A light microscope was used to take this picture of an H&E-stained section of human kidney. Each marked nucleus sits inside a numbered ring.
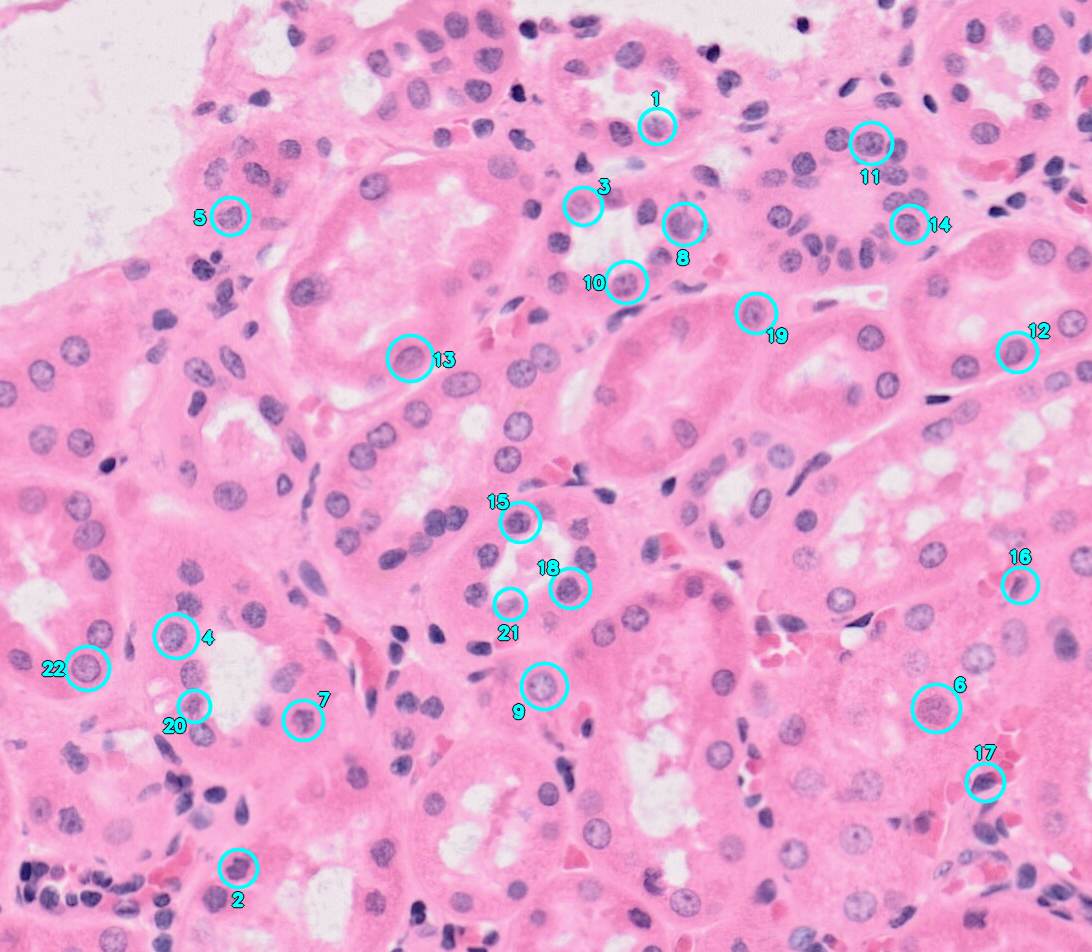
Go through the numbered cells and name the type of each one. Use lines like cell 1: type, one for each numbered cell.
cell 1: loop of Henle or distal tubule cell
cell 2: proximal tubule cell
cell 3: loop of Henle or distal tubule cell
cell 4: loop of Henle or distal tubule cell
cell 5: loop of Henle or distal tubule cell
cell 6: proximal tubule cell
cell 7: loop of Henle or distal tubule cell
cell 8: loop of Henle or distal tubule cell
cell 9: proximal tubule cell
cell 10: loop of Henle or distal tubule cell
cell 11: collecting duct cell
cell 12: proximal tubule cell
cell 13: proximal tubule cell
cell 14: collecting duct cell
cell 15: loop of Henle or distal tubule cell
cell 16: endothelial cell
cell 17: endothelial cell
cell 18: loop of Henle or distal tubule cell
cell 19: proximal tubule cell
cell 20: loop of Henle or distal tubule cell
cell 21: loop of Henle or distal tubule cell
cell 22: proximal tubule cell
